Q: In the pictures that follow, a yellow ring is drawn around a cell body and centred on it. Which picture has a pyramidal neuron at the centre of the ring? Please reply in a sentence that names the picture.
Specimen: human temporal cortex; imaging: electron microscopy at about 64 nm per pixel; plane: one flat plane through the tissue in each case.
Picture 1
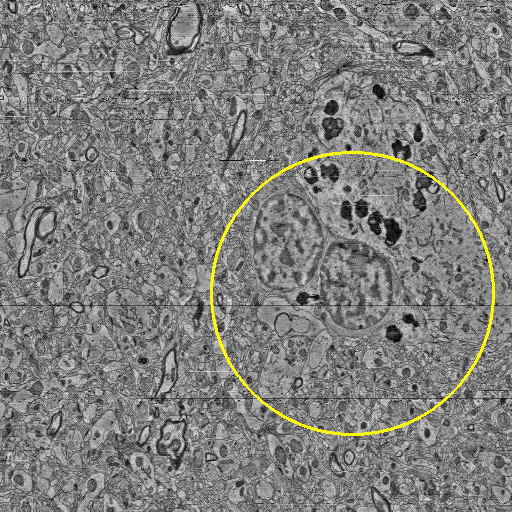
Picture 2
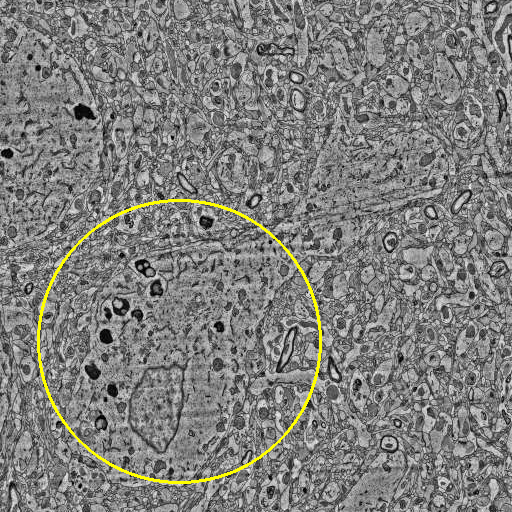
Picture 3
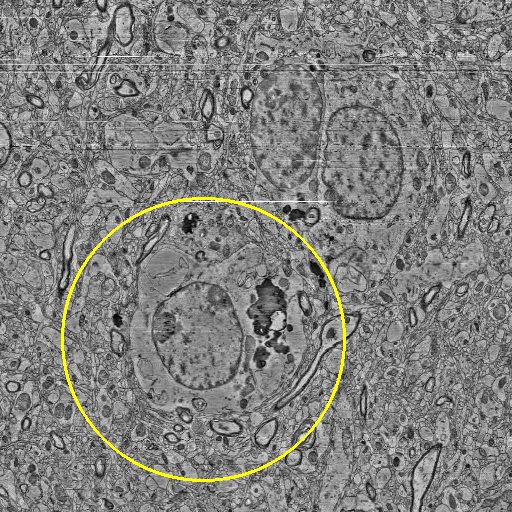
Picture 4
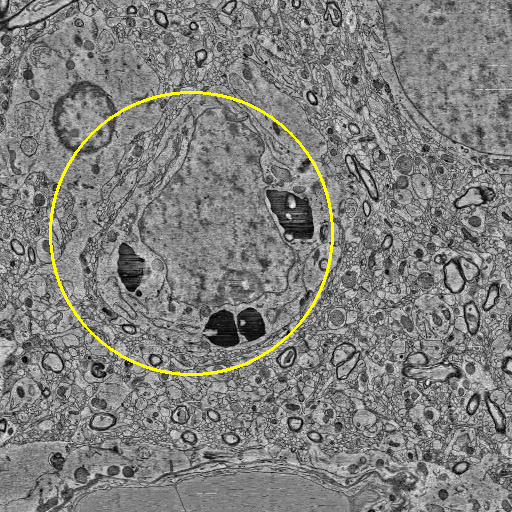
Picture 2 shows it at the centre of its ring.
